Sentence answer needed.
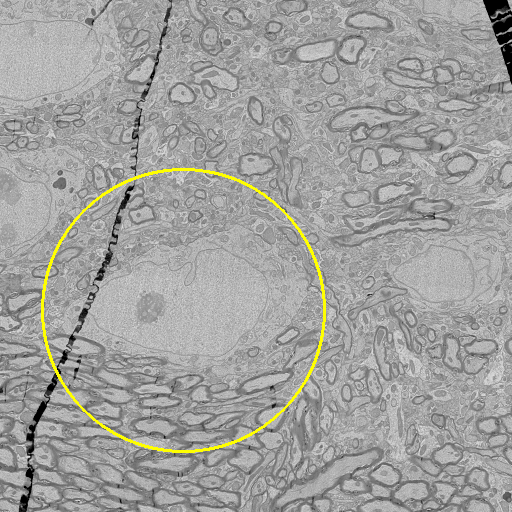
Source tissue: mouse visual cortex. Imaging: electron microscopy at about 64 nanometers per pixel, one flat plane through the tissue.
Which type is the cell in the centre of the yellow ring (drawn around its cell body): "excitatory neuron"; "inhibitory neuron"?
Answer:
In the centre of the yellow ring is an excitatory neuron.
